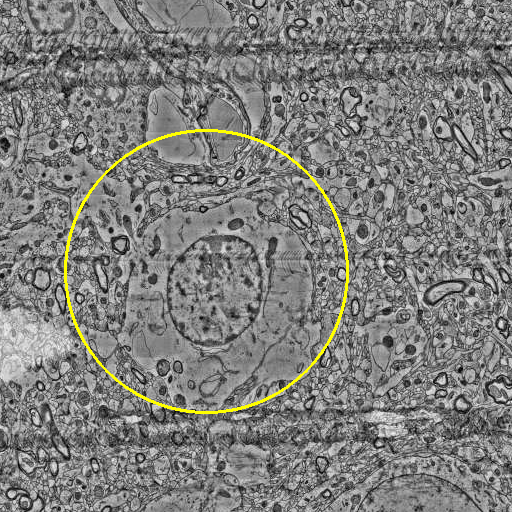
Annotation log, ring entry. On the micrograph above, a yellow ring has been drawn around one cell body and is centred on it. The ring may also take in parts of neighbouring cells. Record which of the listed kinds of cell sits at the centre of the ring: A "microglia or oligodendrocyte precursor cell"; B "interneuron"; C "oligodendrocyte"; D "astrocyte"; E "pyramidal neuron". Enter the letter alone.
D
